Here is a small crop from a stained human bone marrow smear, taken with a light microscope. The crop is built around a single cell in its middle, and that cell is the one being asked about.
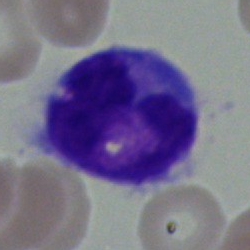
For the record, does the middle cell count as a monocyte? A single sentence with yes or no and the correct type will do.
Yes, the middle cell in this crop is a monocyte.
